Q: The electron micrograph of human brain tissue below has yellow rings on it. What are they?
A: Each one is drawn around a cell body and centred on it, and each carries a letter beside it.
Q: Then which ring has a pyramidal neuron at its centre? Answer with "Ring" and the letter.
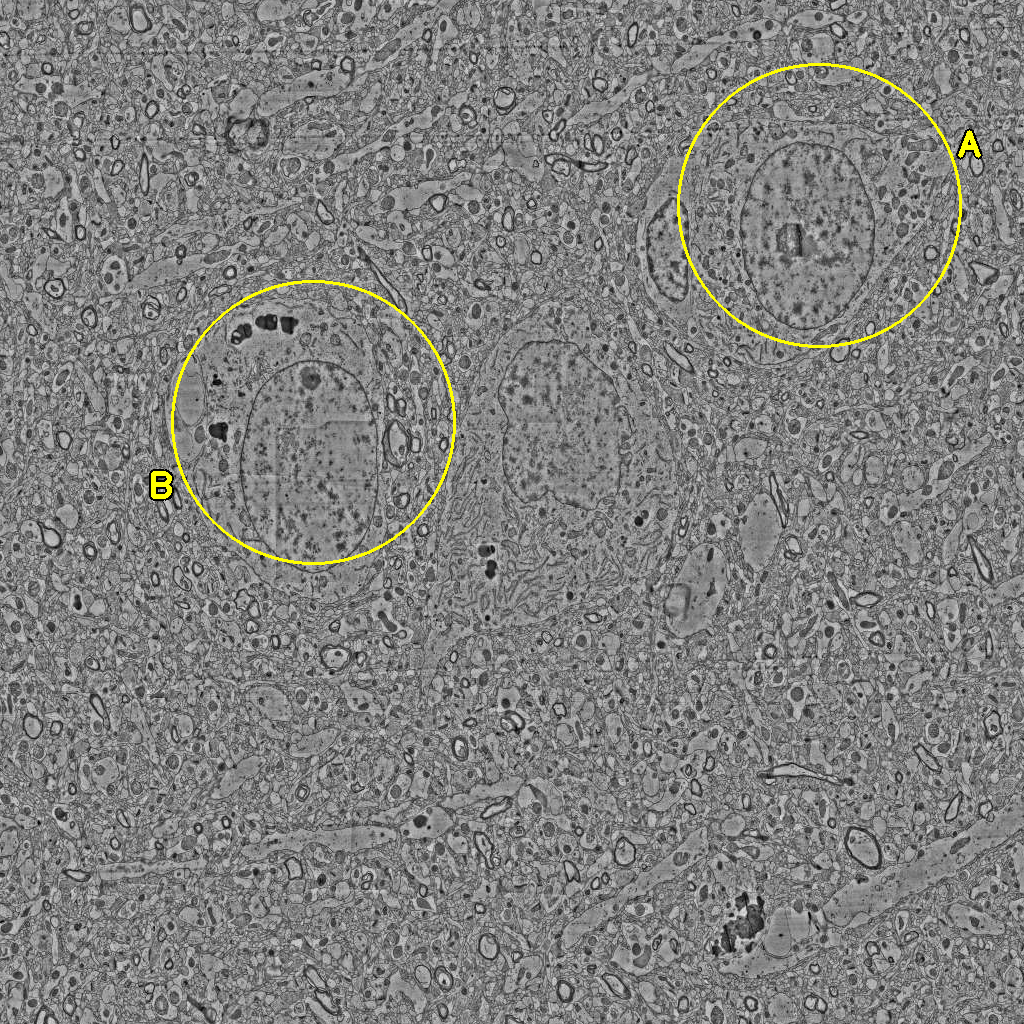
Ring B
